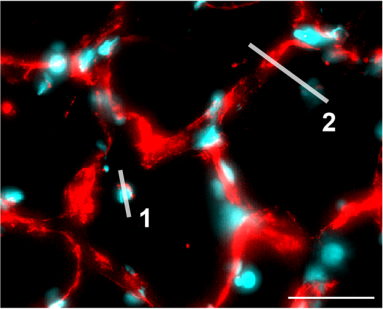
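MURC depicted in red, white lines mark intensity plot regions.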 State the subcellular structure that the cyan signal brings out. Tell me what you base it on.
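Nuclei. Small oval cyan bodies. Cyan bodies lie along the red fiber borders.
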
